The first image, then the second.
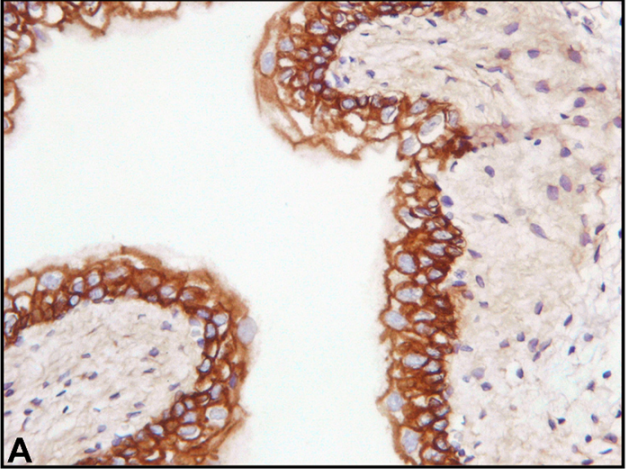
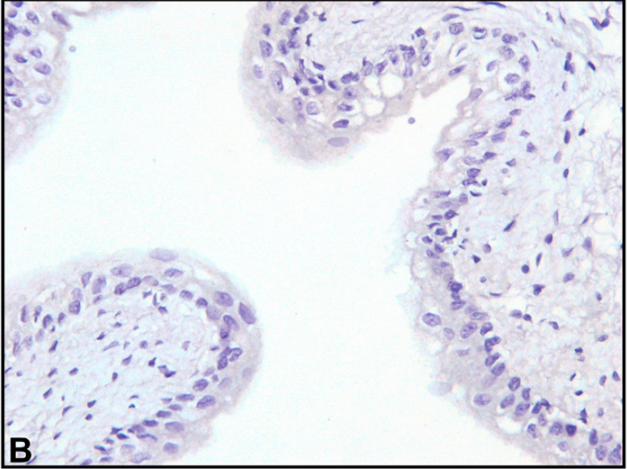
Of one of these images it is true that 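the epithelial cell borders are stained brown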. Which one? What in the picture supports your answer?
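Second image: the epithelium shows only blue nuclei and pale cytoplasm, no brown. First image: the epithelial cells are outlined in dark brown.
Hence: the first image.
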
